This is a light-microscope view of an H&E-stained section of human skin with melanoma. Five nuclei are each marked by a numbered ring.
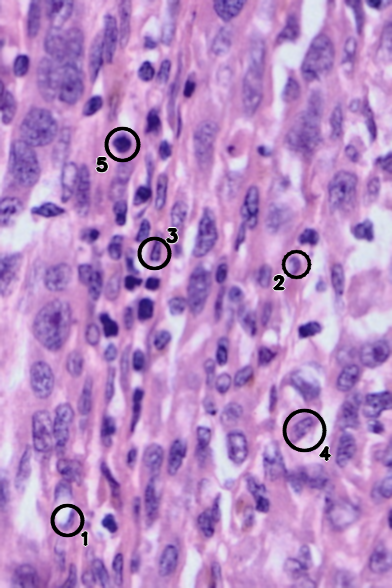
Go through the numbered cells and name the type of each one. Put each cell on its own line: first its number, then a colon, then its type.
1: endothelial cell
2: macrophage or monocyte
3: macrophage or monocyte
4: melanoma cell
5: lymphocyte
